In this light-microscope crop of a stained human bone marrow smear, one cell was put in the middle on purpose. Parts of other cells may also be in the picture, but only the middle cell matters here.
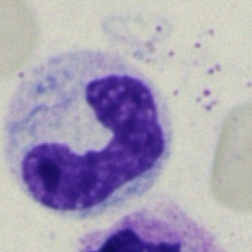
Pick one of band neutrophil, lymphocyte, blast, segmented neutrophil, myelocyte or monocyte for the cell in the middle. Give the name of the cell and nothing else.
band neutrophil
